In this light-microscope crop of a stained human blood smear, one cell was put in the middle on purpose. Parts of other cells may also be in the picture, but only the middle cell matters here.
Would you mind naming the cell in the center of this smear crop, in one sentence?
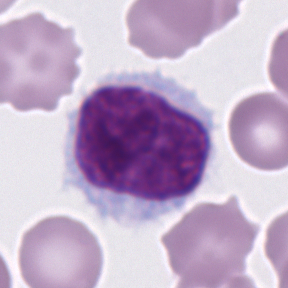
At the crop's centre, the cell is a hairy cell.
